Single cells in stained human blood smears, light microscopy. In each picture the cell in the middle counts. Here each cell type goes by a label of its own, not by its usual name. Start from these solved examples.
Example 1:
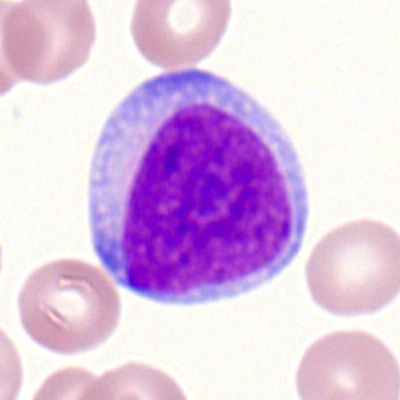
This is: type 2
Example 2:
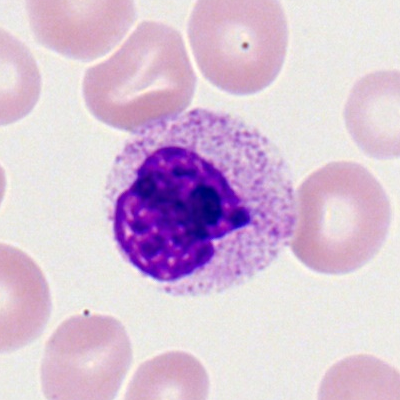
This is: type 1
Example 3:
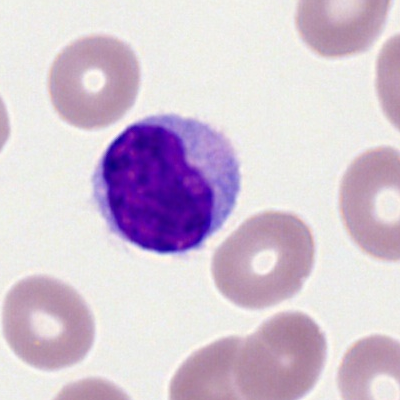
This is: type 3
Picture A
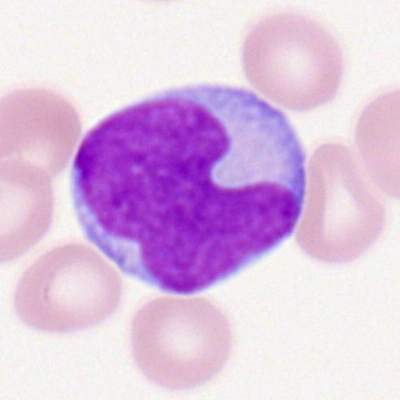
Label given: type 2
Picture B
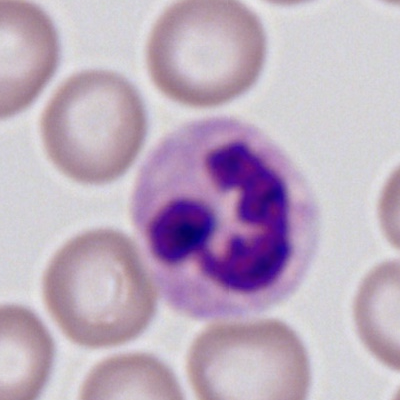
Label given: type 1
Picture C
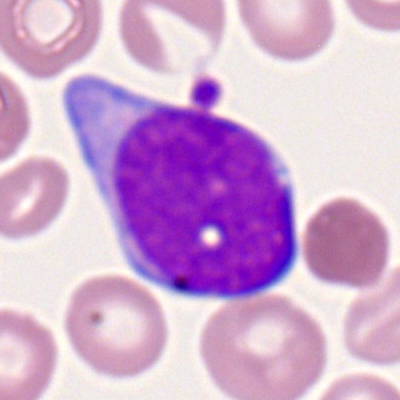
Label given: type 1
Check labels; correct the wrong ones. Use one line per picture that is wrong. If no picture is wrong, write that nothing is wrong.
C is labelled type 1; correct label: type 2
